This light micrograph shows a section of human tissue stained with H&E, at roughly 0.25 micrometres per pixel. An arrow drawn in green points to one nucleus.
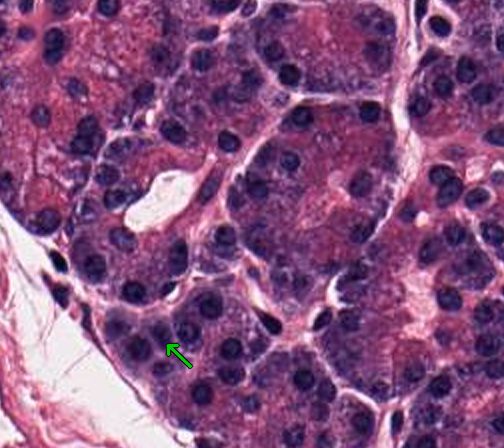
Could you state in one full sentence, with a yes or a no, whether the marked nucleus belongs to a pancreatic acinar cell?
Yes, within this field the marked nucleus is that of a pancreatic acinar cell.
